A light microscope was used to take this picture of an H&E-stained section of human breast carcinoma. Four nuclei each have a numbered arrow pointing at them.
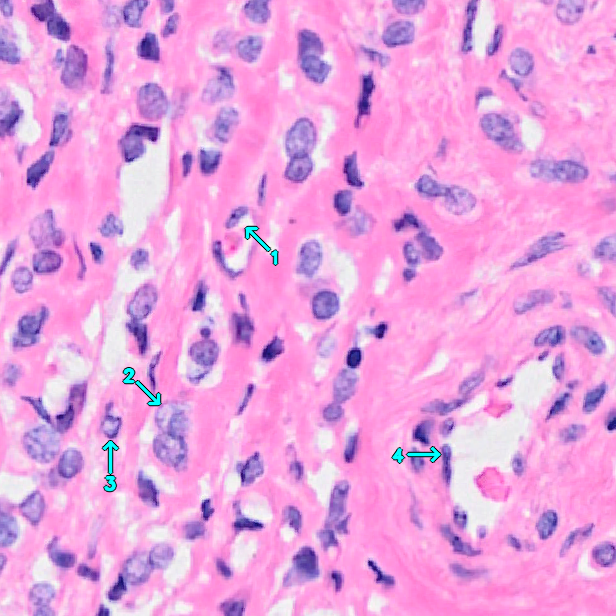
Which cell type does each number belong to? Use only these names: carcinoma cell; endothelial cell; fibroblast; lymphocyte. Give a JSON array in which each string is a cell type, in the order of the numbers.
["endothelial cell", "carcinoma cell", "endothelial cell", "endothelial cell"]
